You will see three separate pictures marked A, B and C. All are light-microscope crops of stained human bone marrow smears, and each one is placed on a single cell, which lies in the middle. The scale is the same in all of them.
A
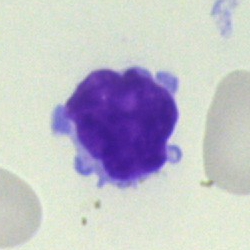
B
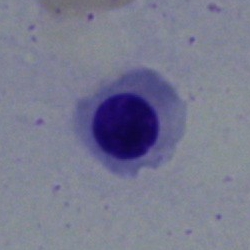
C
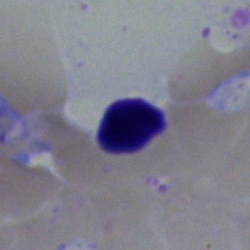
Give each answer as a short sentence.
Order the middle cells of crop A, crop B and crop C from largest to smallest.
The order is A, B, C, beginning with the largest.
